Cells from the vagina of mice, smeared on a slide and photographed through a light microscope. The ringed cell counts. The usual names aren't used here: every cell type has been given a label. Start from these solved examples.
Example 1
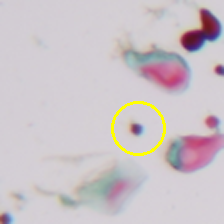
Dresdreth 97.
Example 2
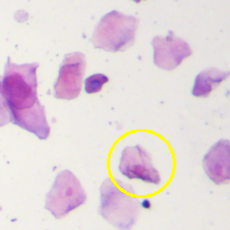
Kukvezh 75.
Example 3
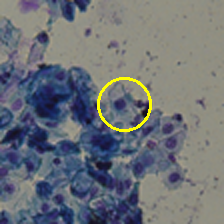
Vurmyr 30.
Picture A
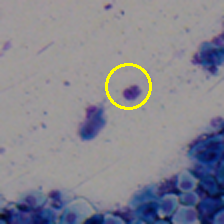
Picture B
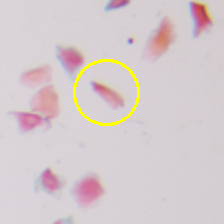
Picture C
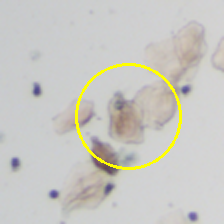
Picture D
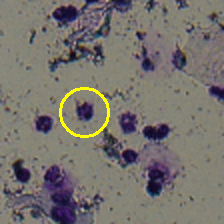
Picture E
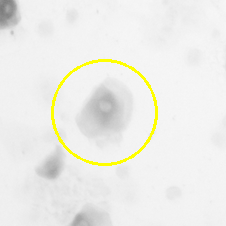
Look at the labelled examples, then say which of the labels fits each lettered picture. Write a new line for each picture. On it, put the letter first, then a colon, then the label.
A: Dresdreth 97.
B: Kukvezh 75.
C: Kukvezh 75.
D: Dresdreth 97.
E: Vurmyr 30.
